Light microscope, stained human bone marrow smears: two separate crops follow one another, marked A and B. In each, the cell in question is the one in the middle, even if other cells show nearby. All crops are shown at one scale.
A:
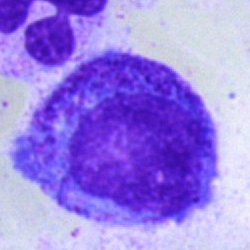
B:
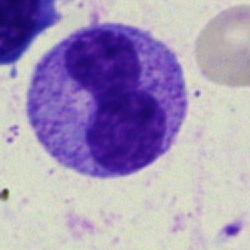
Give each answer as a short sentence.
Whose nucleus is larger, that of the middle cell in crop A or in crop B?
Larger is the nucleus in crop A, at roughly 2 times the area of the other.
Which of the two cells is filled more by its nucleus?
Of the two, the nucleus in crop A makes up the greater part of its cell.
